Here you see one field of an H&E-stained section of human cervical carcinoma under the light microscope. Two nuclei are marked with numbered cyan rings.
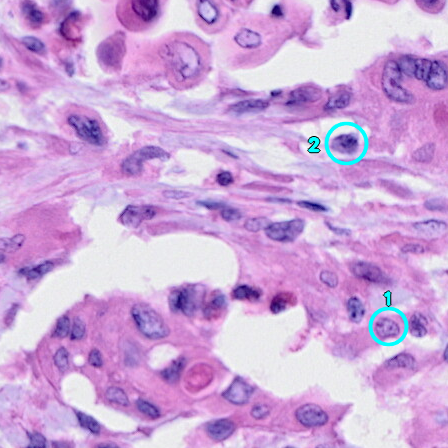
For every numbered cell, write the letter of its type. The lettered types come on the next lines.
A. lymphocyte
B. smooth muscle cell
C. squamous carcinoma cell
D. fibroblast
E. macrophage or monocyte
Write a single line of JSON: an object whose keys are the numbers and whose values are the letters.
{"1": "E", "2": "A"}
